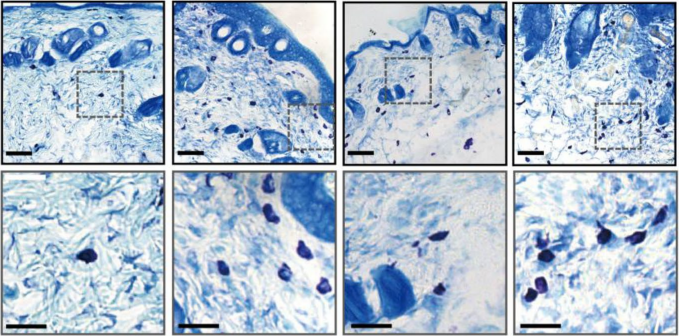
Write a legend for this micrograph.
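The sections show a dark blue epidermis at the surface, with hair follicles and glands as blue rounded profiles in the dermis below. The dermis is a pale blue, loose meshwork of fibres. Scattered through it are small, round to oval cells stained an intense deep purple, which stand out clearly in the enlarged lower row.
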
